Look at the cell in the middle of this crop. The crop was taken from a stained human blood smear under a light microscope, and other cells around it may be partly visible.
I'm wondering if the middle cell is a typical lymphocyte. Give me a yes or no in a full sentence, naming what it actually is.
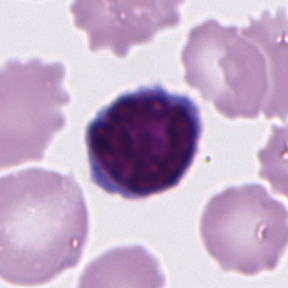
Yes, the cell occupying the center is a typical lymphocyte.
